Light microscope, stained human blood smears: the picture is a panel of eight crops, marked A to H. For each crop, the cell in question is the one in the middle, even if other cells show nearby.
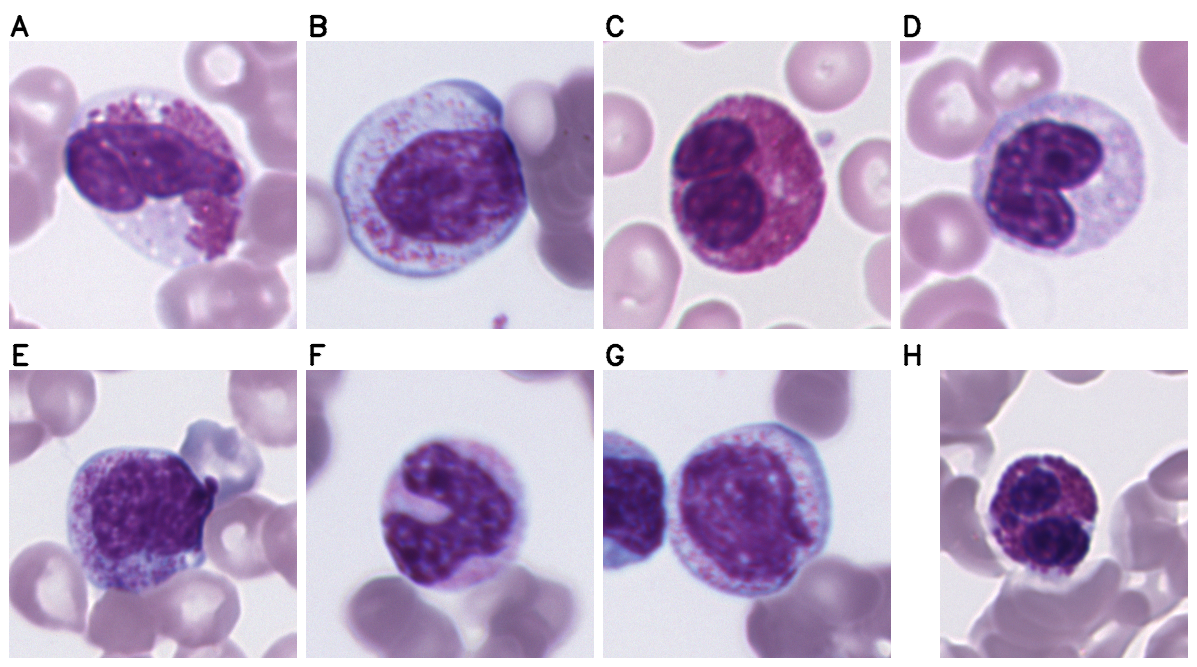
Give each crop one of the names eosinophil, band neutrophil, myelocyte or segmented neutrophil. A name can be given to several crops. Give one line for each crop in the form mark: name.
A: eosinophil
B: myelocyte
C: eosinophil
D: band neutrophil
E: myelocyte
F: band neutrophil
G: myelocyte
H: eosinophil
